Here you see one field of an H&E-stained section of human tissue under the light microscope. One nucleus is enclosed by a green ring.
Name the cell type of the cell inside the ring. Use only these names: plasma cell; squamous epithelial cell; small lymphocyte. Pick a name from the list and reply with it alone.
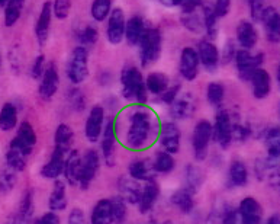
plasma cell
